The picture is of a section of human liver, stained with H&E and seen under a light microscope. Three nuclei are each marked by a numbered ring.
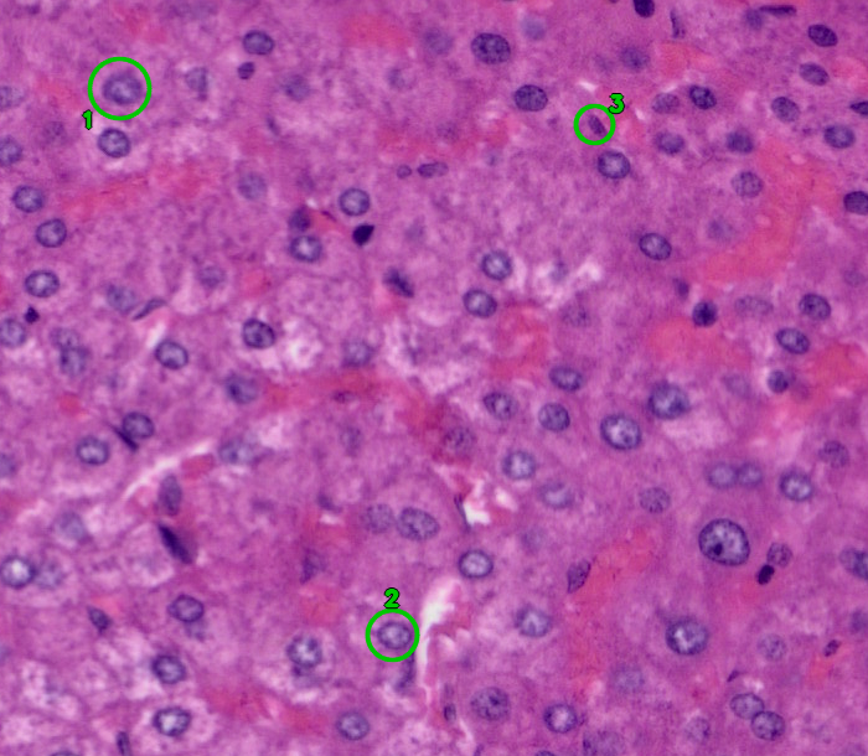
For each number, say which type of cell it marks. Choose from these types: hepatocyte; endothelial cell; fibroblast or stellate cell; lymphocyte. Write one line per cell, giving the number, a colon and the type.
1: hepatocyte
2: hepatocyte
3: fibroblast or stellate cell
